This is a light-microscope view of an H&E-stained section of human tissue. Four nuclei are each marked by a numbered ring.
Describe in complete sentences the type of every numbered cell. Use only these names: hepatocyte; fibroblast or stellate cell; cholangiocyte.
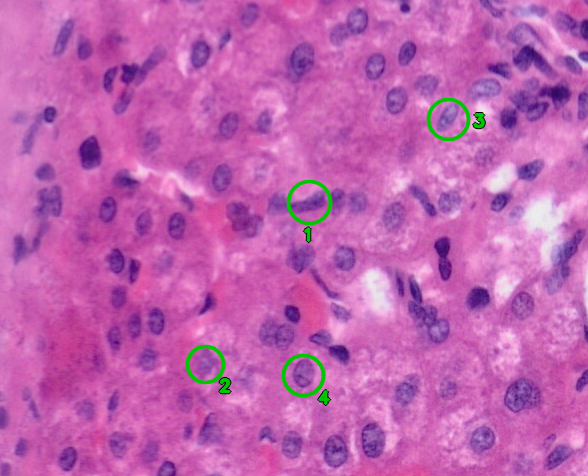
Cell 1 is a fibroblast or stellate cell. Cells 2 and 4 are hepatocytes. Cell 3 is a cholangiocyte.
